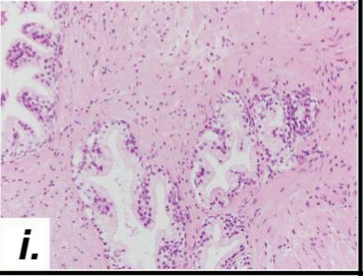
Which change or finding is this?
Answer: high stromal content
